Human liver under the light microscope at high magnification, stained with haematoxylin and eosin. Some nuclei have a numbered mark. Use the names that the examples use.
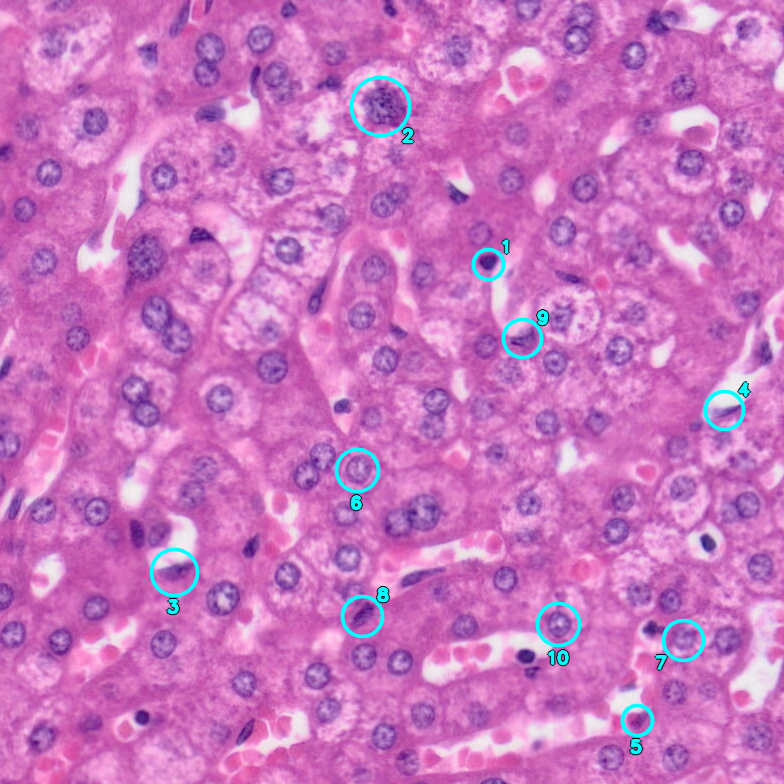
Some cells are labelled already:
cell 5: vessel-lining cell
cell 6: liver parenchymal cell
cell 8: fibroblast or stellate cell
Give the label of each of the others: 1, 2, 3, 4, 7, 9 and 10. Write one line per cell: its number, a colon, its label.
1: fibroblast or stellate cell
2: liver parenchymal cell
3: vessel-lining cell
4: vessel-lining cell
7: liver parenchymal cell
9: vessel-lining cell
10: liver parenchymal cell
